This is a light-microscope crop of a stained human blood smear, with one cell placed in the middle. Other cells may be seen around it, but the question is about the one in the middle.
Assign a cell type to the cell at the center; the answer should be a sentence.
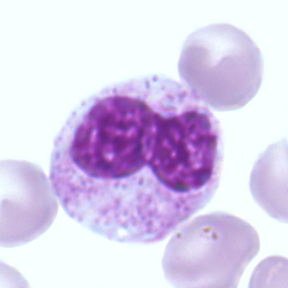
Of the cells in this crop, the central one is a band neutrophil.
